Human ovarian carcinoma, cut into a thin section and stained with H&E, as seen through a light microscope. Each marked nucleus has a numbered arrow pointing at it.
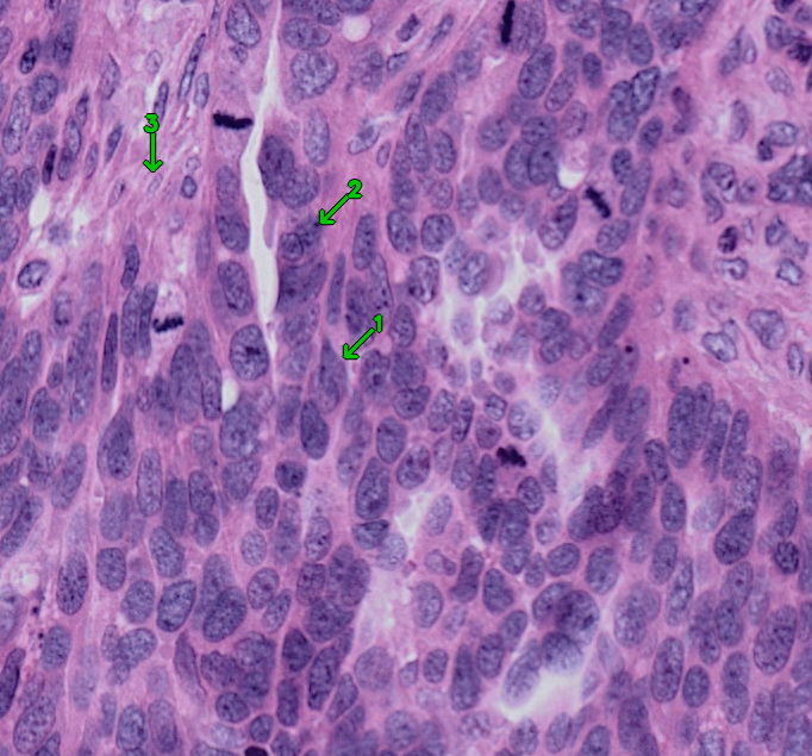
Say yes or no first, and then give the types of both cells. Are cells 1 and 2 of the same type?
Yes, it is true that cells 1 and 2 are both carcinoma cells.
